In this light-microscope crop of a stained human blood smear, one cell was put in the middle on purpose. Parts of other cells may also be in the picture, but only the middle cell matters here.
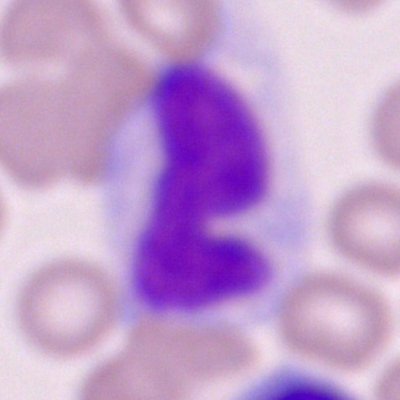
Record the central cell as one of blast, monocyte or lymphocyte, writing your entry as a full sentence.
To answer, the cell in the center of the crop is a monocyte.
